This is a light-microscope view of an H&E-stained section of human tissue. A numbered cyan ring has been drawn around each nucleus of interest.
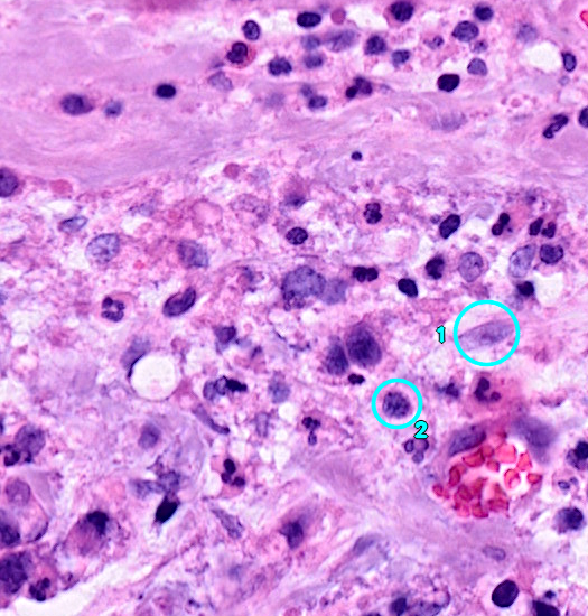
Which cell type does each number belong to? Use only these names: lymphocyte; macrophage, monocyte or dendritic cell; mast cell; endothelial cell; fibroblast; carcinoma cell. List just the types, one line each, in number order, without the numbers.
fibroblast
mast cell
